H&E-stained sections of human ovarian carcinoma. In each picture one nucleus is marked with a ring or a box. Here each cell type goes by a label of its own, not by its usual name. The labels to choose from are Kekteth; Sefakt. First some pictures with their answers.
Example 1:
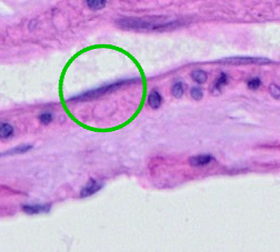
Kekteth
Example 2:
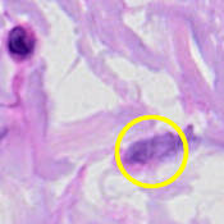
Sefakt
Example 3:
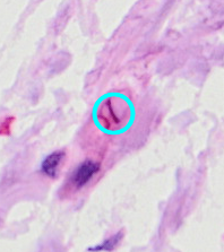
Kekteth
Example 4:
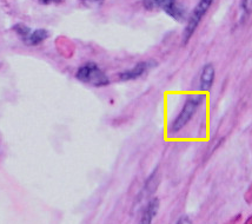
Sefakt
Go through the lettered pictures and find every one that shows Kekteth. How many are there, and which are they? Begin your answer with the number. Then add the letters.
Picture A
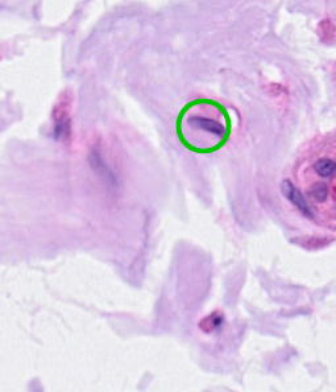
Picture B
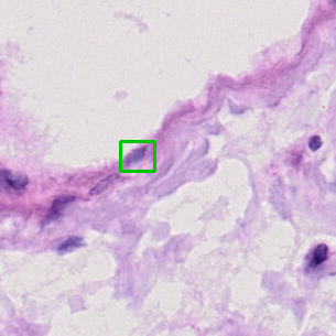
2, namely A, B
